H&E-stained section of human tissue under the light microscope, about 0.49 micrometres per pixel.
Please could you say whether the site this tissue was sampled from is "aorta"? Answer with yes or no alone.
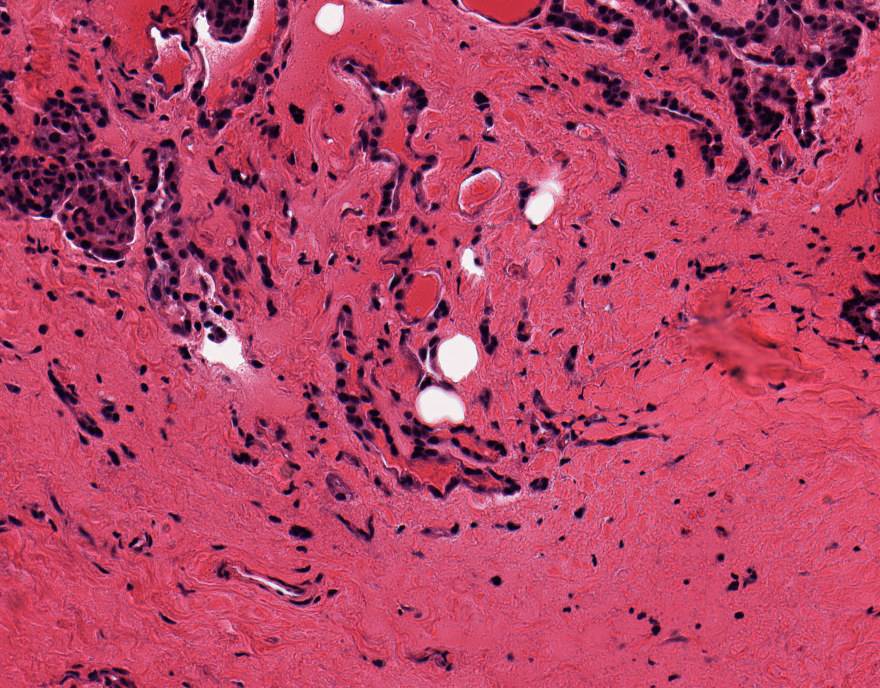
no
